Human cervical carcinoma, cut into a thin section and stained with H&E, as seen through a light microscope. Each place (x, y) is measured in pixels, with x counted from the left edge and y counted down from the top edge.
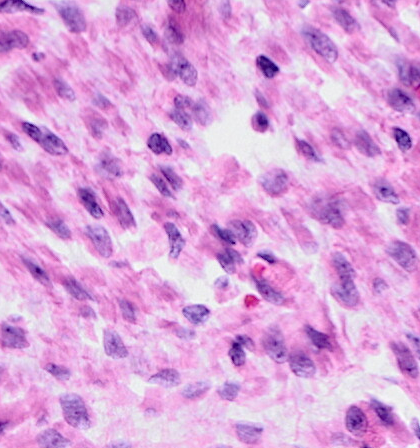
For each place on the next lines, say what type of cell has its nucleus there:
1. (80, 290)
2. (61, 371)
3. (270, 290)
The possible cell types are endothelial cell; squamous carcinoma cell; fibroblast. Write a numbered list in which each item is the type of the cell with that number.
1. fibroblast
2. fibroblast
3. endothelial cell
